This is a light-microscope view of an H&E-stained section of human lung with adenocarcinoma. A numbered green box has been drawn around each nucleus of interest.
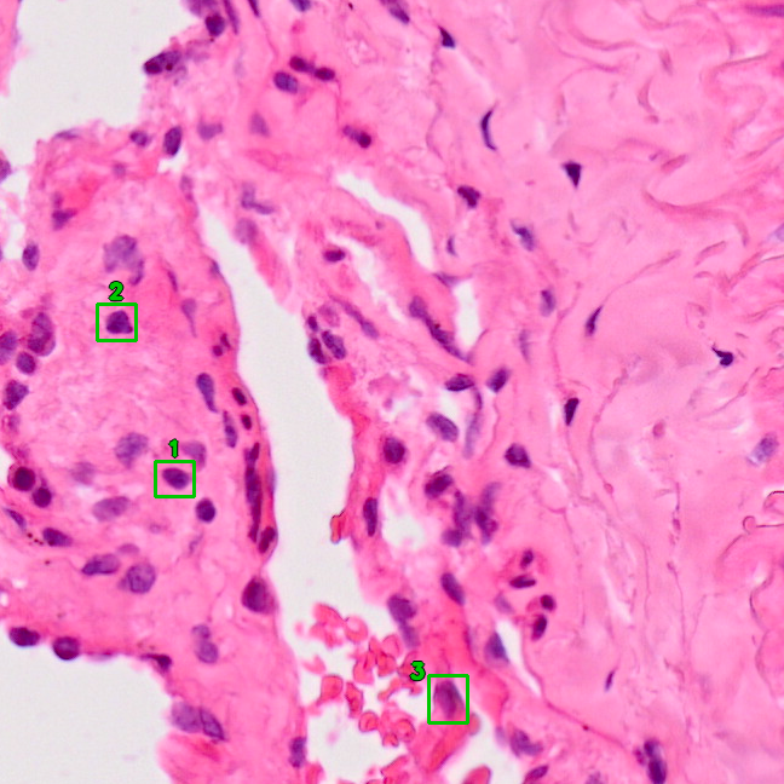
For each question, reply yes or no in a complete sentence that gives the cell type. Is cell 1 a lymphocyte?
Yes, cell 1 is a lymphocyte in this tissue section.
